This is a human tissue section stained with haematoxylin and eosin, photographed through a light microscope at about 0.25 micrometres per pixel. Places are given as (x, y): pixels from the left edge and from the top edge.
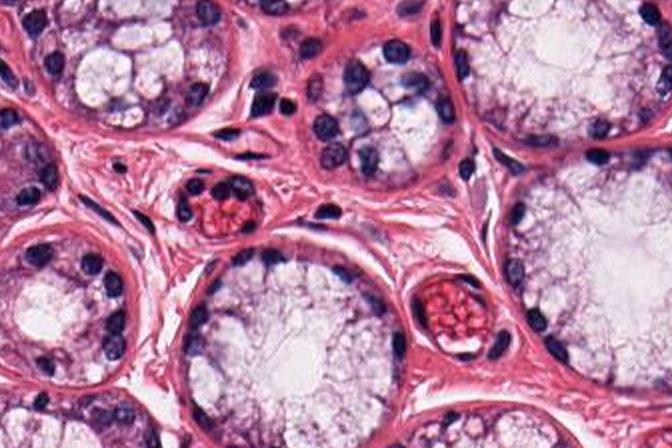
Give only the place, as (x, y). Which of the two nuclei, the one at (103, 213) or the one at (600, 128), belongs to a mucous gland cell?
(600, 128)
